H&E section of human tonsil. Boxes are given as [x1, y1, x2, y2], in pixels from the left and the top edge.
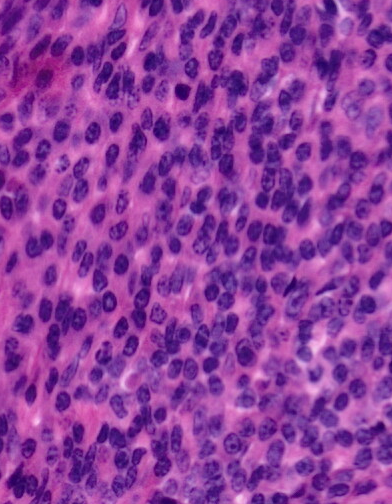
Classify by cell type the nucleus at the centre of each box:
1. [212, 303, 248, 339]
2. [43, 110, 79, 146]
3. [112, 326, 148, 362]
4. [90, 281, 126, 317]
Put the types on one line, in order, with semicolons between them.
small lymphocyte; plasma cell; plasma cell; plasma cell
